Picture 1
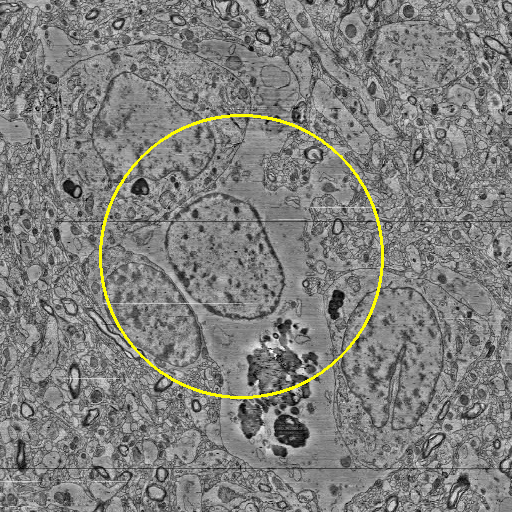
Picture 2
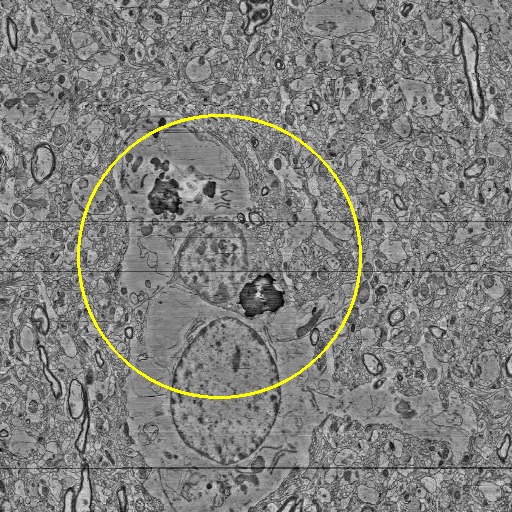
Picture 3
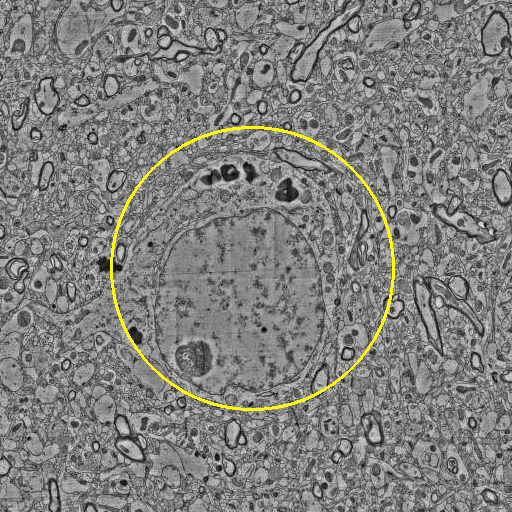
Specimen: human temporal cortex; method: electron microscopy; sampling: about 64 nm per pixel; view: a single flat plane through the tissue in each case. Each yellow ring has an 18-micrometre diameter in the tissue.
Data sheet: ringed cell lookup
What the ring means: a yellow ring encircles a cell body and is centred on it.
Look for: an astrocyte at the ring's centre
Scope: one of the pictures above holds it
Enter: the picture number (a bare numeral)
1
